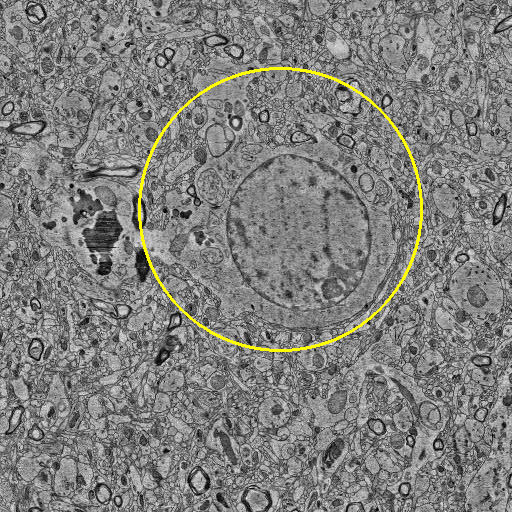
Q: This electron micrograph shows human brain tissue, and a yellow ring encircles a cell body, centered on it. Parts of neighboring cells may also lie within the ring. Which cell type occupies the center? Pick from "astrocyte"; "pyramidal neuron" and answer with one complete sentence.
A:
What sits at the ring's center in this micrograph is an astrocyte, among those choices.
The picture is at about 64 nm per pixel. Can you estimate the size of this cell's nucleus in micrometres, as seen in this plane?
The nucleus is approximately 10 micrometers long by 9 micrometers wide in this plane.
